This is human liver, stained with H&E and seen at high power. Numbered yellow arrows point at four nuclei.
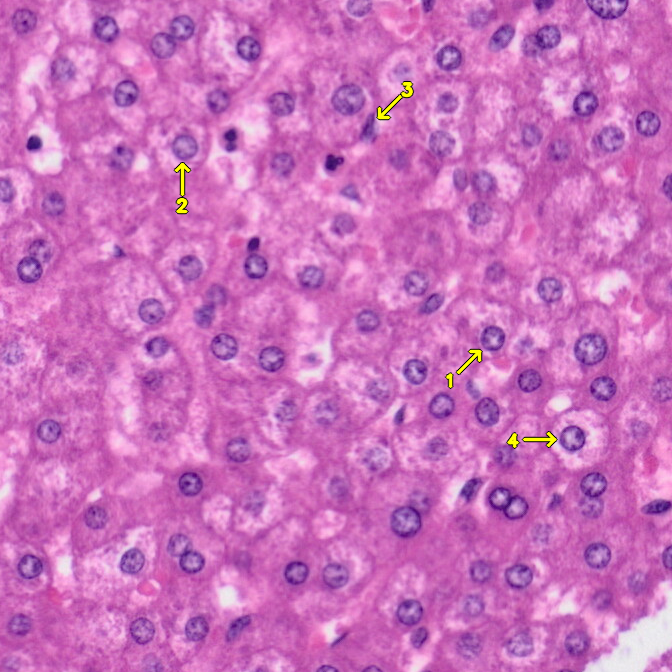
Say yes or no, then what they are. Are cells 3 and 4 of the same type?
No, cell 3 is an endothelial cell and cell 4 is a hepatocyte.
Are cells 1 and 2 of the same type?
Yes, both are hepatocytes.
